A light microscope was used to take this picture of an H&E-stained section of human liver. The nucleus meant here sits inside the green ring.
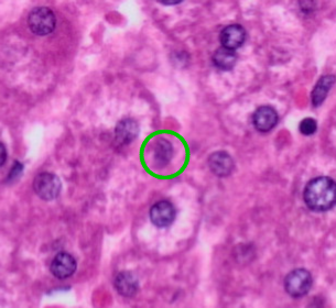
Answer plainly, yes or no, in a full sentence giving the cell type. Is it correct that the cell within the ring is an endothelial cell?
Yes, where cell type is concerned, the cell within the ring is an endothelial cell.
